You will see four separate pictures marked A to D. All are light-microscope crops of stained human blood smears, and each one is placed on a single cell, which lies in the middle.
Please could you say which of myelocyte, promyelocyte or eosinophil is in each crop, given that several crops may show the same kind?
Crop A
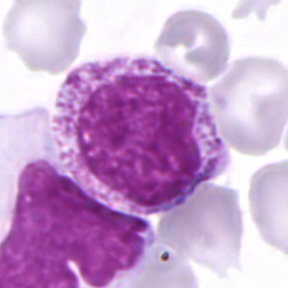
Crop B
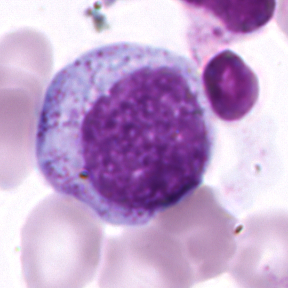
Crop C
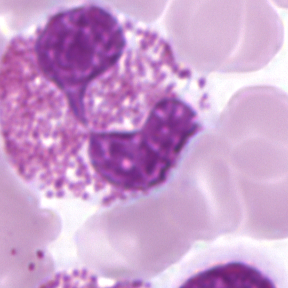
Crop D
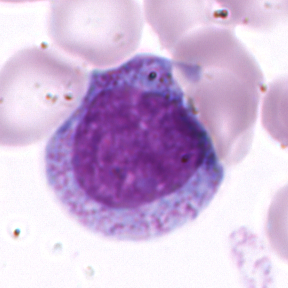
A: myelocyte
B: promyelocyte
C: eosinophil
D: promyelocyte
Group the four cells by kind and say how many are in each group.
promyelocyte: 2
myelocyte: 1
eosinophil: 1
